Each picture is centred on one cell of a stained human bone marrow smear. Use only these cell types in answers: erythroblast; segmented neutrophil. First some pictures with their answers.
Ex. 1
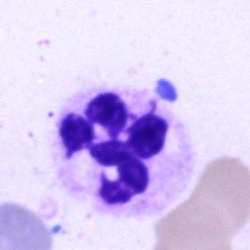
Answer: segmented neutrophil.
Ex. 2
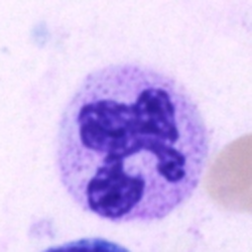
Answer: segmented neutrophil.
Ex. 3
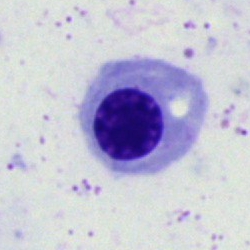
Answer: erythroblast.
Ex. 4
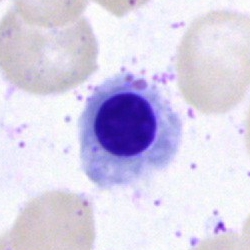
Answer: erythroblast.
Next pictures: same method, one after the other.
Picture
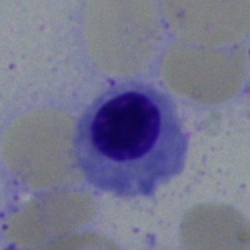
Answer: erythroblast.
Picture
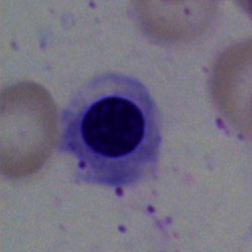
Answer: erythroblast.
